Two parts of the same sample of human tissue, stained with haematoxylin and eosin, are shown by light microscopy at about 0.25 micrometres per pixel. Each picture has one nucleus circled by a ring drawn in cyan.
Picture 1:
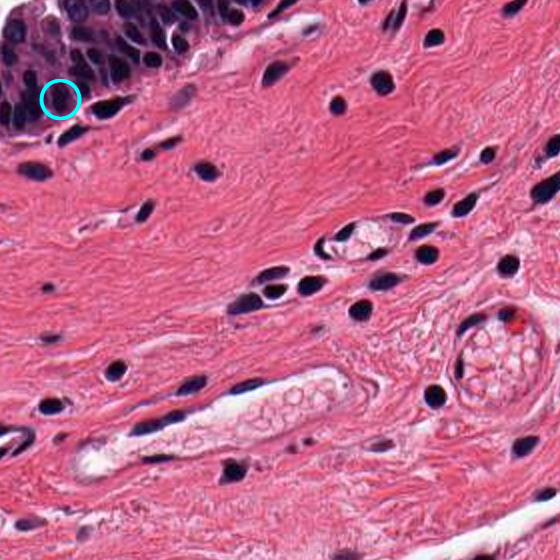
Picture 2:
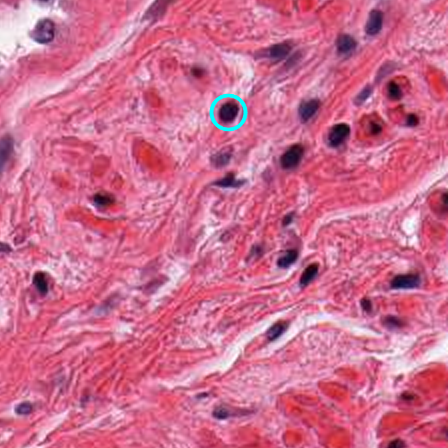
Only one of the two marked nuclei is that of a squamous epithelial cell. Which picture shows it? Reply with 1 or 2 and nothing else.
1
